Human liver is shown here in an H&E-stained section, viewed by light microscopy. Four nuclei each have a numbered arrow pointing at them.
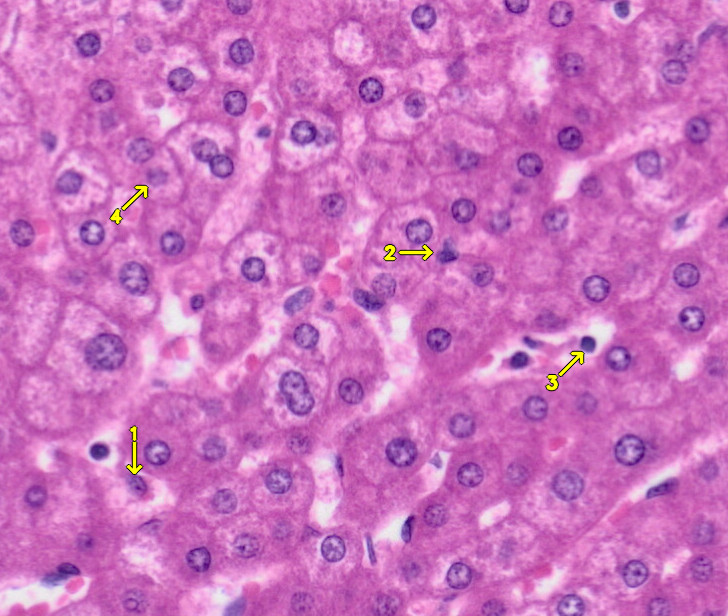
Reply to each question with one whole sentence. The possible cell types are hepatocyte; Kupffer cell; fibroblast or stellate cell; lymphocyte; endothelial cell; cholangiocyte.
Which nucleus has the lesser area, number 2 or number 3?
Nucleus 3 covers less area, with nucleus 2 about 1.5 times as large.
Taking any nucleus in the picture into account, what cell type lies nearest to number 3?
Number 3 lies closest to the nucleus of a hepatocyte.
